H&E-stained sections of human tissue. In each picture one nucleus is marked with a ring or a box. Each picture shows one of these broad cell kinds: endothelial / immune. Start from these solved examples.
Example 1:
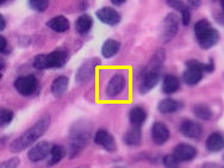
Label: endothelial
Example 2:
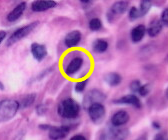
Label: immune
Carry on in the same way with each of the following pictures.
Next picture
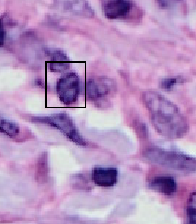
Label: immune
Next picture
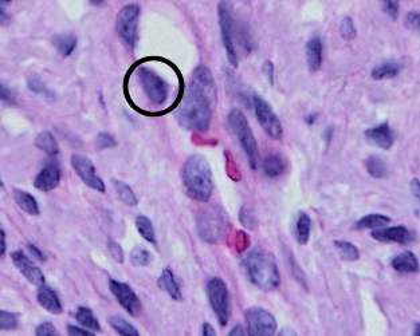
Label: endothelial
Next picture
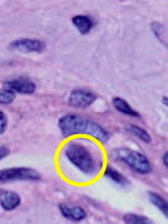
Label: endothelial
